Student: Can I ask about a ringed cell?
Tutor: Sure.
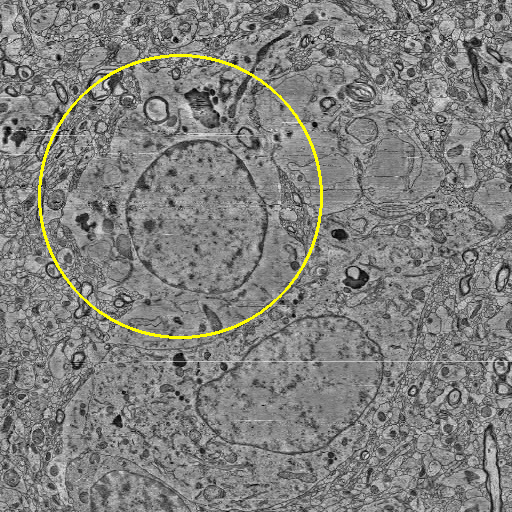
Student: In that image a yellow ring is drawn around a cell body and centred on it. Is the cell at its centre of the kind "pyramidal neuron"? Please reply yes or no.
No, the cell is of another kind.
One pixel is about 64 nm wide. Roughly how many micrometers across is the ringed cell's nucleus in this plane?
In this plane the nucleus measures roughly 11 by 9 micrometers.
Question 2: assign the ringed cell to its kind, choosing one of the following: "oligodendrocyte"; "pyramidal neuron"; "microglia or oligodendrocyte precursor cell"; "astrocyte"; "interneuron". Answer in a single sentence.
The cell shown in the ring is an astrocyte.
